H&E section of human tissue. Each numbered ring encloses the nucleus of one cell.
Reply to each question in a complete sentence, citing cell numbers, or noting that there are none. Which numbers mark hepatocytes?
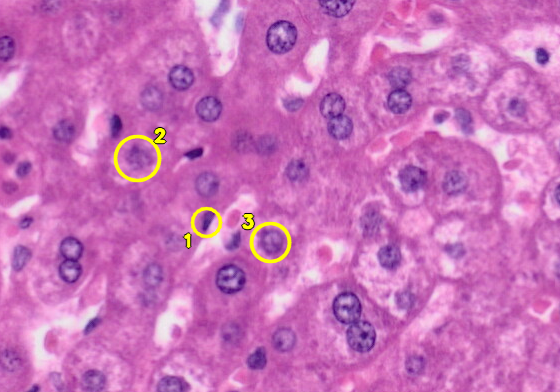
The cells assigned the numbers 2 and 3 are hepatocytes.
